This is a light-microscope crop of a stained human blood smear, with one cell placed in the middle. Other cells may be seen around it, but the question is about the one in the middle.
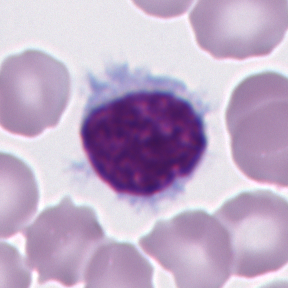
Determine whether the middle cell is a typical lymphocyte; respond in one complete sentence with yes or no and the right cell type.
No, the cell in the centre is to be called a hairy cell instead of a typical lymphocyte.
